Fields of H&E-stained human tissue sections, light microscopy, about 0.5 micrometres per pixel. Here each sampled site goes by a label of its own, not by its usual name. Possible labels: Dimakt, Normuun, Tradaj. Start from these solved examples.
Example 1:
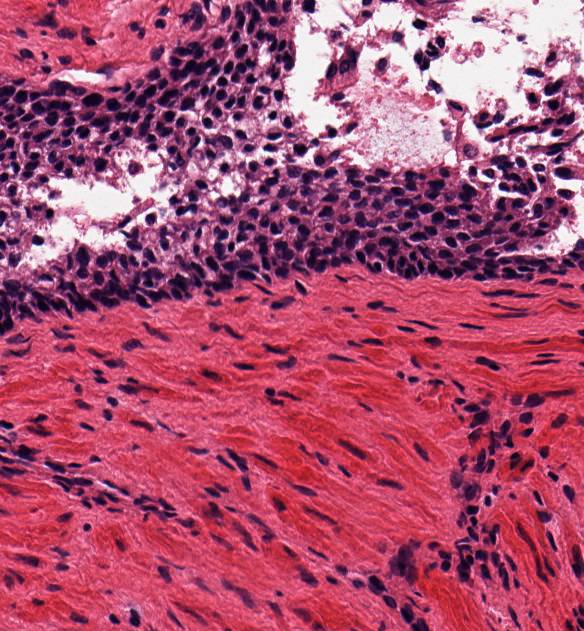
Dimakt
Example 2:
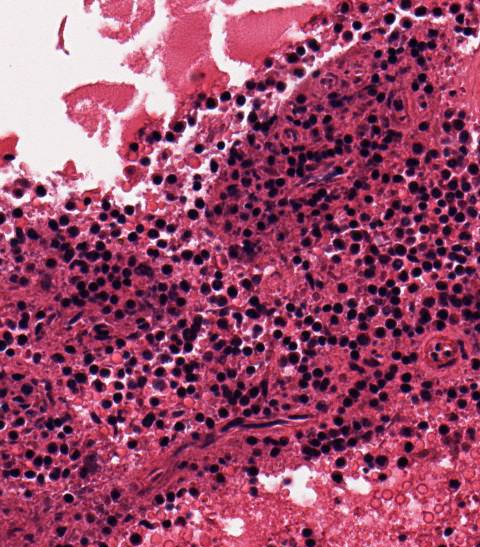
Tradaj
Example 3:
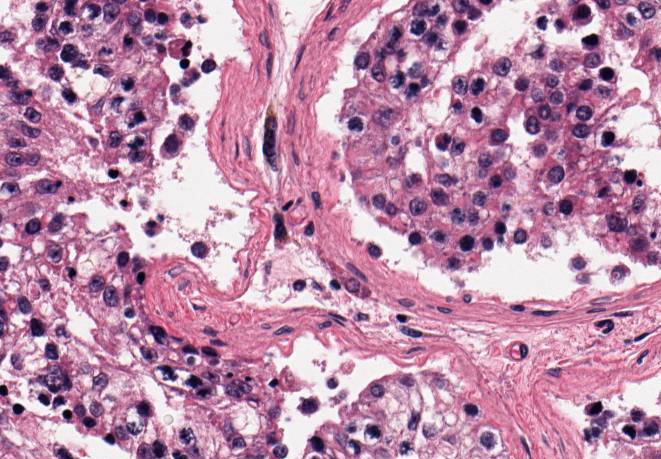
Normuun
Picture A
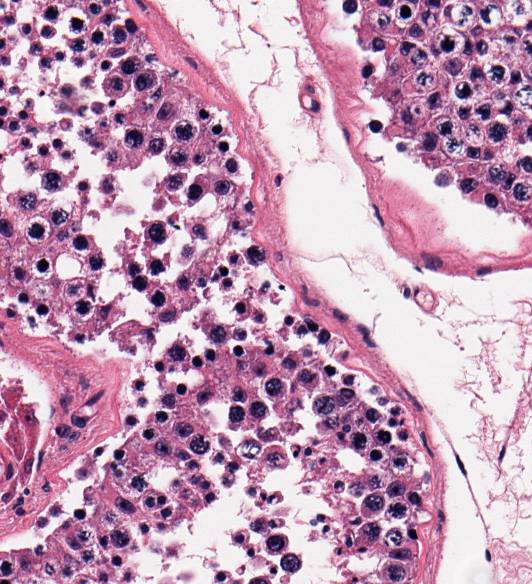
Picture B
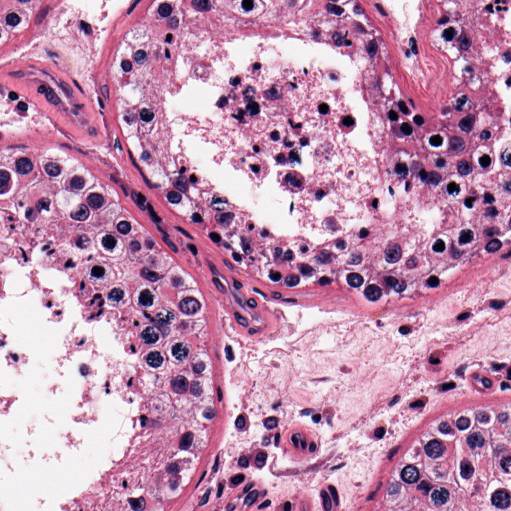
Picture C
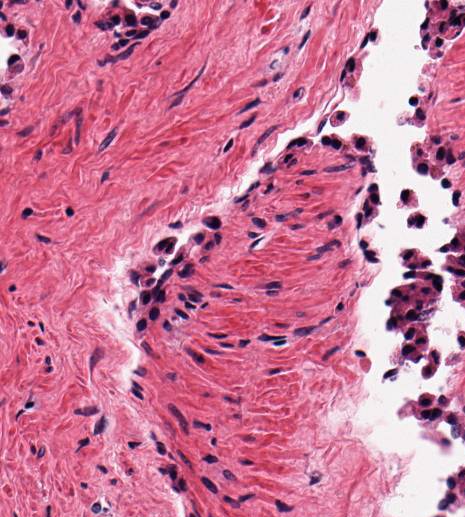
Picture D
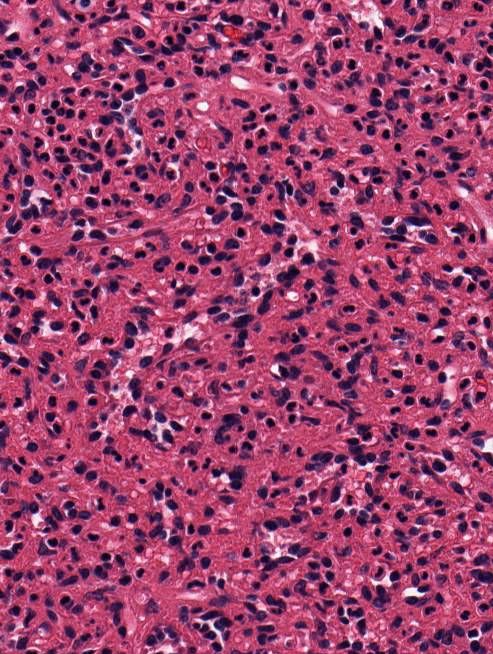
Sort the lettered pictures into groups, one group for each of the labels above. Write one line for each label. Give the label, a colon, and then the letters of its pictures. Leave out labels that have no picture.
Dimakt: C
Normuun: A, B
Tradaj: D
